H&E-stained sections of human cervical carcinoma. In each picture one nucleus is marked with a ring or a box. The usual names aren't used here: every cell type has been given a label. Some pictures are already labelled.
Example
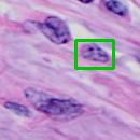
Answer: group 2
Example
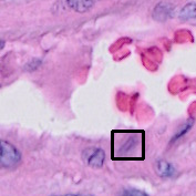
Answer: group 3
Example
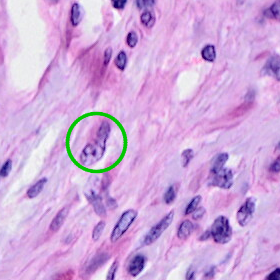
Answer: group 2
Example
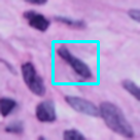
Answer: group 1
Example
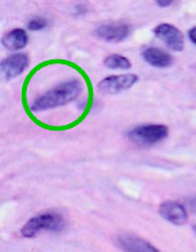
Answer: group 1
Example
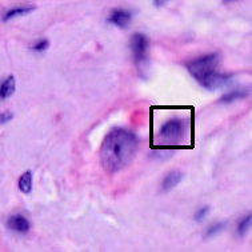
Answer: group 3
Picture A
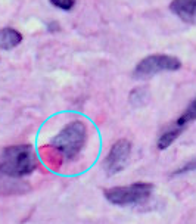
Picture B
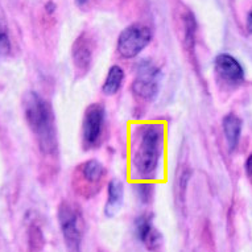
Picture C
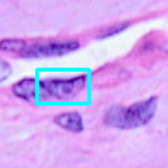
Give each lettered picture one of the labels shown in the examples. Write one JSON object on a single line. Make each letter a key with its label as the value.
{"A": "group 3", "B": "group 2", "C": "group 3"}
